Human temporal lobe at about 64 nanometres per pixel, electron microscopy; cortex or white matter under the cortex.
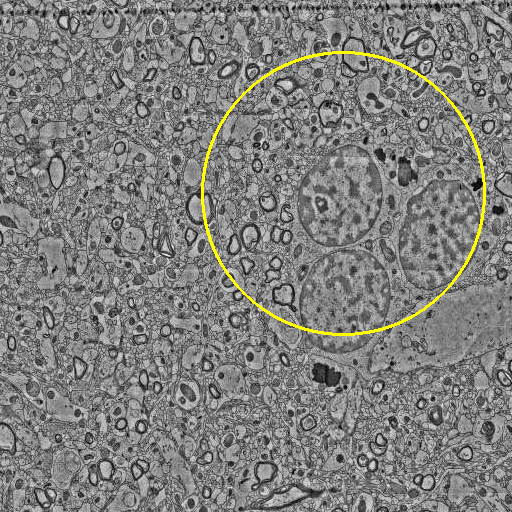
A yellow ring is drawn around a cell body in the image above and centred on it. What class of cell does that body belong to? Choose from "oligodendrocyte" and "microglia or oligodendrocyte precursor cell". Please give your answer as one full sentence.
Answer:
The yellow ring above is centred on the cell body of an oligodendrocyte.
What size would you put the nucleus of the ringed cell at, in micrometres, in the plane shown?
In this plane the nucleus measures roughly 7 by 5 micrometres.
